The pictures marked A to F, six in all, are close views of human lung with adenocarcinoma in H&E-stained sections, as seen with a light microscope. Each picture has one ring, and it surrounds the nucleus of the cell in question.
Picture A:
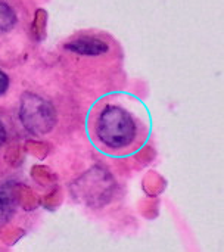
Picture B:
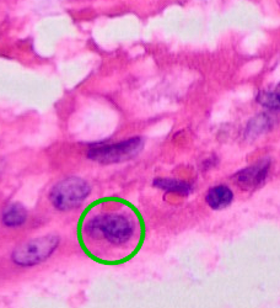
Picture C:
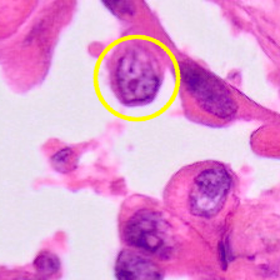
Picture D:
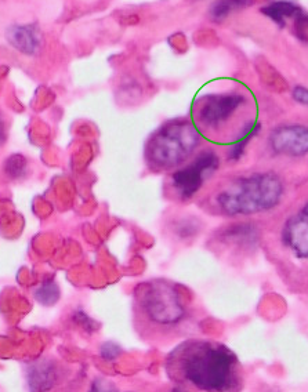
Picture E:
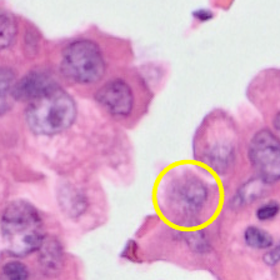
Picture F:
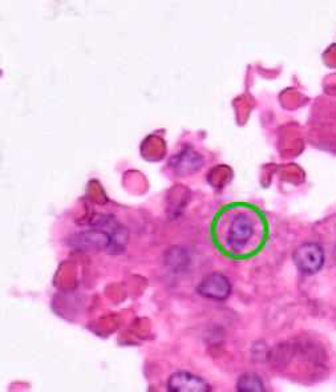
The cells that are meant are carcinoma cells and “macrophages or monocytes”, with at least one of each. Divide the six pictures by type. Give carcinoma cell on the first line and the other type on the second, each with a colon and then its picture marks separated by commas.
carcinoma cell: C, D, E
macrophage or monocyte: A, B, F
